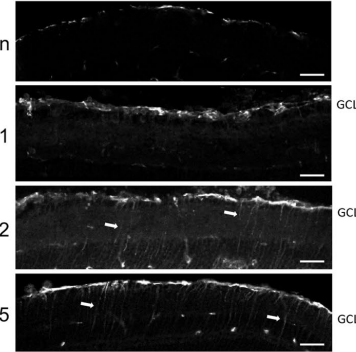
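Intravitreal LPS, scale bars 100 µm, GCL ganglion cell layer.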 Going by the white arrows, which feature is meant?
Glial fibers.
